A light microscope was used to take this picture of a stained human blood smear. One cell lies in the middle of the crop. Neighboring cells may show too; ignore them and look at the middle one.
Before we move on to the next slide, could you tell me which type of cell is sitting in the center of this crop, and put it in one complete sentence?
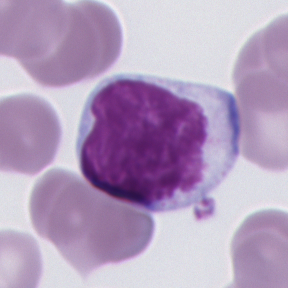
On this slide crop, the central cell is a large granular lymphocyte.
